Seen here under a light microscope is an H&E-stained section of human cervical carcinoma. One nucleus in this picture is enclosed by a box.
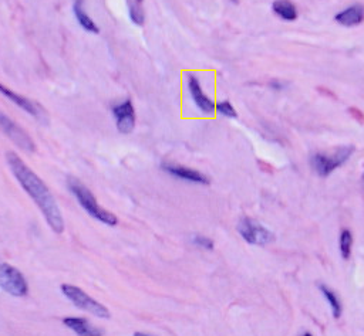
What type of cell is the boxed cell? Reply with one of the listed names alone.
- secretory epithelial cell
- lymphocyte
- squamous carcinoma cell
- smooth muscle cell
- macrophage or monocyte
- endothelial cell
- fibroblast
fibroblast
